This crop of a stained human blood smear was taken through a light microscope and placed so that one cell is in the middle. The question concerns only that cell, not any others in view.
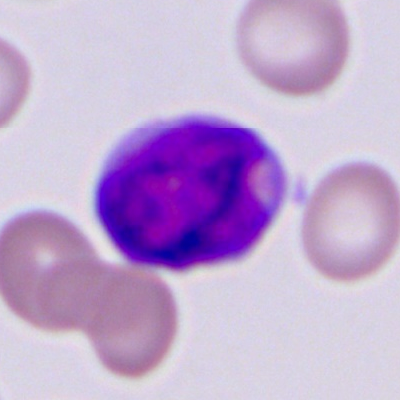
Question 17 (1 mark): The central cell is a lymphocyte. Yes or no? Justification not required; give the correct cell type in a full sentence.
No, the central cell is reported as a myeloblast rather than as a lymphocyte.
